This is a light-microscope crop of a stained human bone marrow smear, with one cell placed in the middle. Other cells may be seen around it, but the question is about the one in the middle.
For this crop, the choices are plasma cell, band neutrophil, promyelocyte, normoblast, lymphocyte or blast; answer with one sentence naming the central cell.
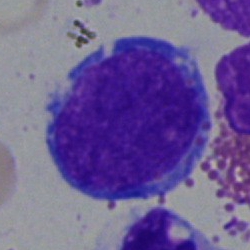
Whatever else lies nearby, the middle cell is a blast.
